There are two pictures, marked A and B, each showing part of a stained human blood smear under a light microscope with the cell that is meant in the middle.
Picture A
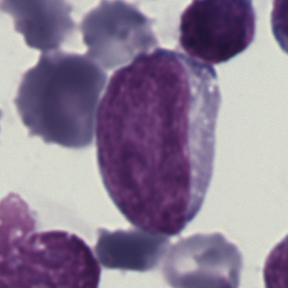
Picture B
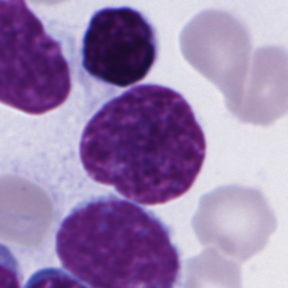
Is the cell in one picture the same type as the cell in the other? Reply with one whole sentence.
Yes, they are the same type: both are myeloblasts.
